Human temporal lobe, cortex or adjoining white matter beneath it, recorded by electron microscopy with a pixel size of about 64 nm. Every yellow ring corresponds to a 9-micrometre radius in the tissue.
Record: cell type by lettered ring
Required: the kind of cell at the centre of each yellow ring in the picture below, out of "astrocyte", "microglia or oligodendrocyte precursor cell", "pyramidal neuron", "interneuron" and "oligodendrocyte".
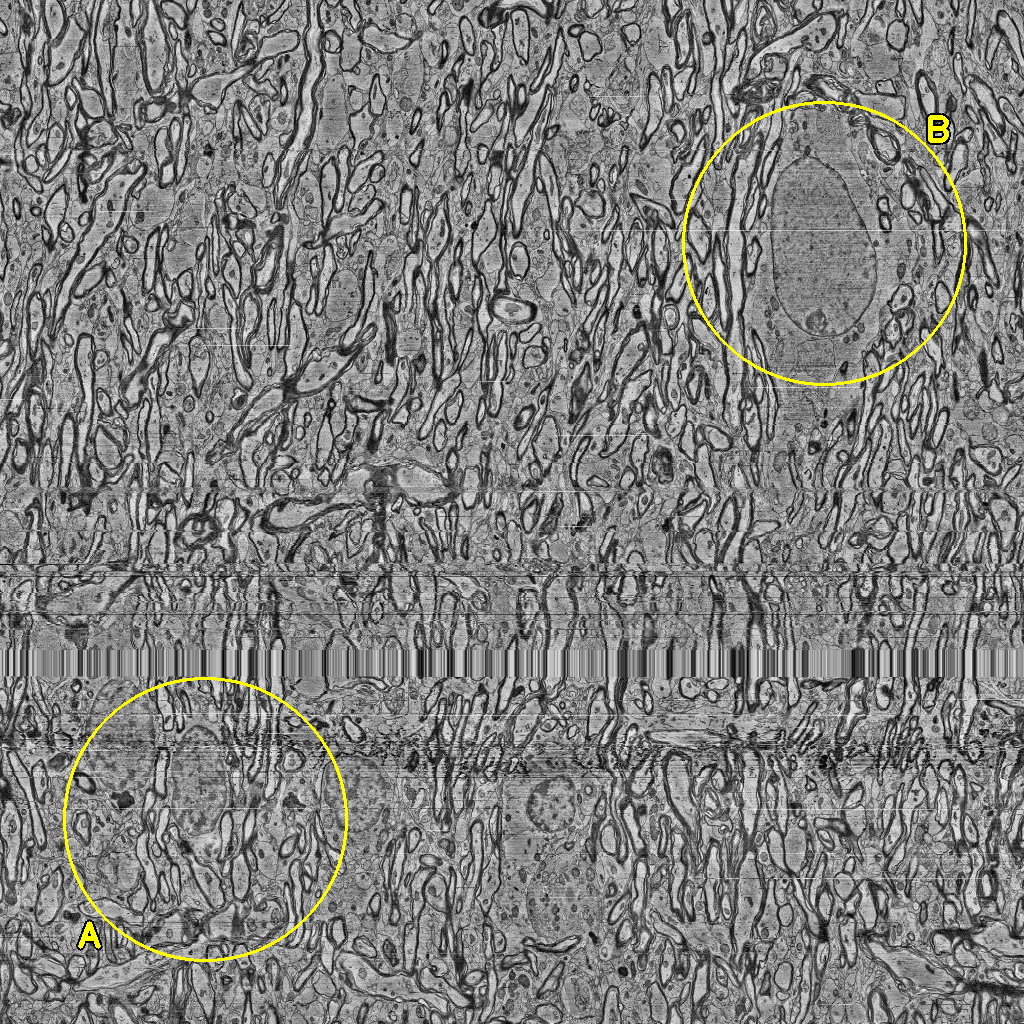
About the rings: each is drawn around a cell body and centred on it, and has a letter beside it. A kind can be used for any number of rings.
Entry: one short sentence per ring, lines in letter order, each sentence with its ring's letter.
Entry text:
At ring A we have an oligodendrocyte.
At ring B we have an astrocyte.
